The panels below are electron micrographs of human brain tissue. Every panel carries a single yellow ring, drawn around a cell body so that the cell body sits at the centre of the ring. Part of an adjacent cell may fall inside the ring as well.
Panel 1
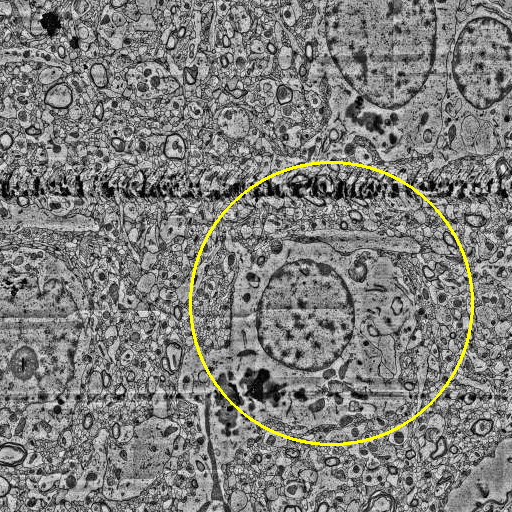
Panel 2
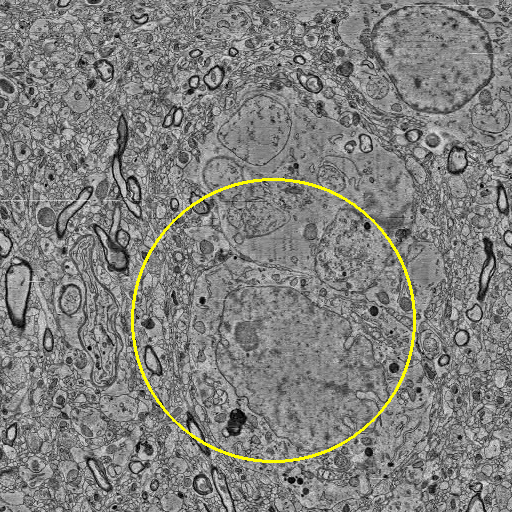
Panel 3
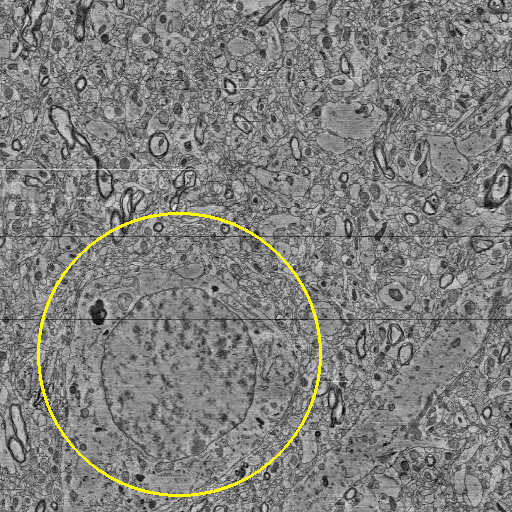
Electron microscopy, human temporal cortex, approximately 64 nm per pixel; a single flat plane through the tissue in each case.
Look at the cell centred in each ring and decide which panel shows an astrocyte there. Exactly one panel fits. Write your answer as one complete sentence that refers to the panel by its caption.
Panel 1 has it at the centre of its ring.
